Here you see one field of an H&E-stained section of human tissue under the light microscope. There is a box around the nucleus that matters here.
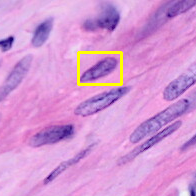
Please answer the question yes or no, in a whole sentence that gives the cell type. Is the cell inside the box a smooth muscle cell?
Yes, that is right: the cell inside the box is a smooth muscle cell.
